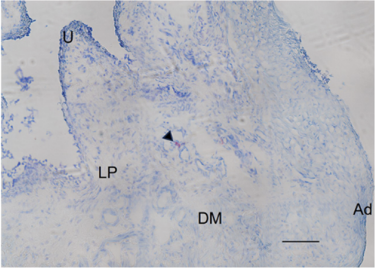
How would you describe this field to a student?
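A lining layer of cells forms the folded edge at upper left, beneath it lies looser connective tissue, then denser muscle tissue, and the thin outer covering runs along the right edge. A single small purple-magenta mast cell, marked by the black arrowhead, sits in the tissue beneath the lining.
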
